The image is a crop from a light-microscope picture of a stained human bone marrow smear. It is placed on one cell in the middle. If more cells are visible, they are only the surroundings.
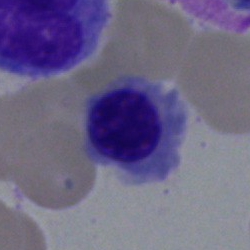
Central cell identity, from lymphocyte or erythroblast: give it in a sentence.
The cell at the middle of the crop is recognized as an erythroblast.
